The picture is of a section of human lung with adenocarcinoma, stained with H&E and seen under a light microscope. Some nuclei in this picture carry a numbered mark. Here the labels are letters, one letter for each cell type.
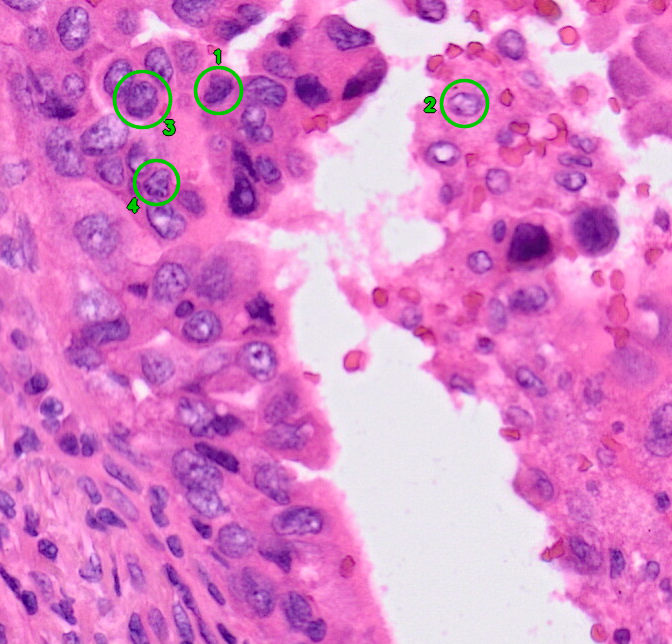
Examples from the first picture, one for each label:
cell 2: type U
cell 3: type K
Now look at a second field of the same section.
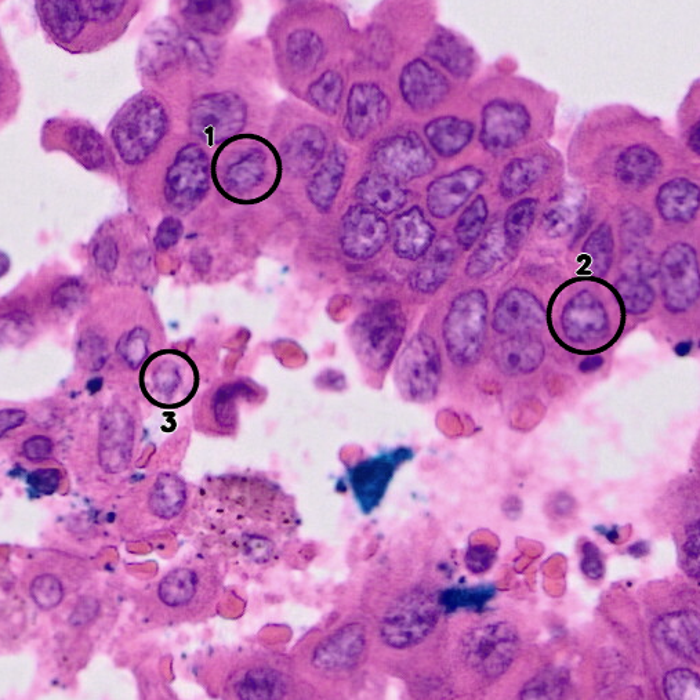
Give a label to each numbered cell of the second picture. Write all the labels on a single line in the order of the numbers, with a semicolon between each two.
type K; type K; type U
